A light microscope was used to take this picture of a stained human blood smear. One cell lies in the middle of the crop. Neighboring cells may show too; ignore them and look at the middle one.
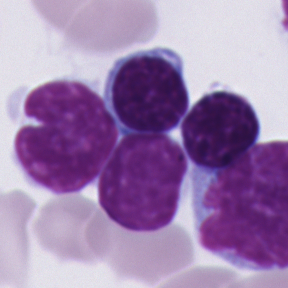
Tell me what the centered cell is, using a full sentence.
On this slide crop, the central cell is a myeloblast.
